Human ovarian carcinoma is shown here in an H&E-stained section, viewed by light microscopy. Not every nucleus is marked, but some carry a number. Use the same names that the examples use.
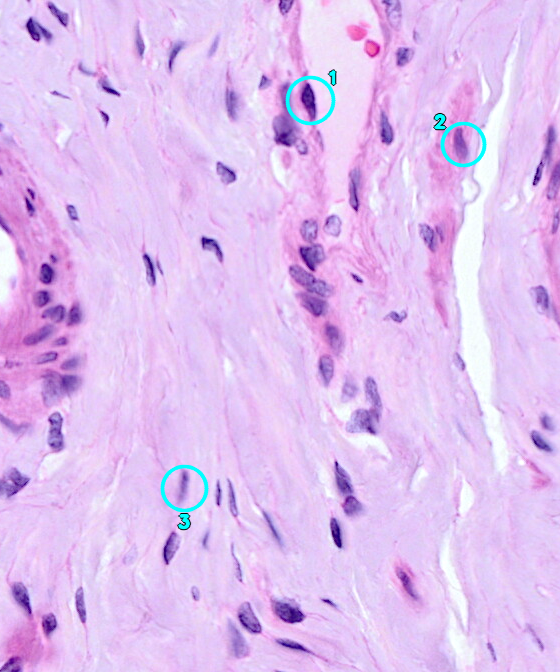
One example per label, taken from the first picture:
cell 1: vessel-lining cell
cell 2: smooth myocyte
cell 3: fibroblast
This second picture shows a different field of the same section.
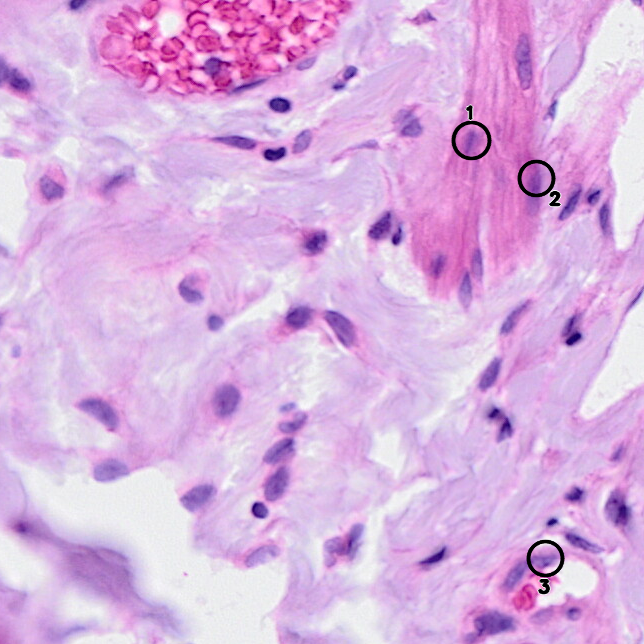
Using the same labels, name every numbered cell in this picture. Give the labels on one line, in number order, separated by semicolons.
smooth myocyte; smooth myocyte; vessel-lining cell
